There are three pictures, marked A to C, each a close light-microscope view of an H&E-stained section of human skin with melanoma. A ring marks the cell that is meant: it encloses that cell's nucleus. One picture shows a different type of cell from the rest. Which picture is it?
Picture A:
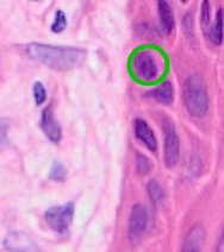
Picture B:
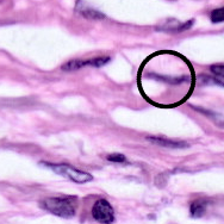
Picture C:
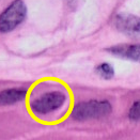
B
